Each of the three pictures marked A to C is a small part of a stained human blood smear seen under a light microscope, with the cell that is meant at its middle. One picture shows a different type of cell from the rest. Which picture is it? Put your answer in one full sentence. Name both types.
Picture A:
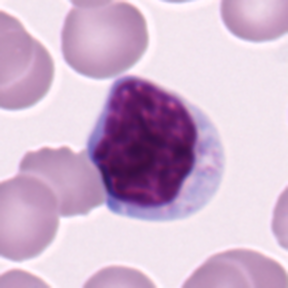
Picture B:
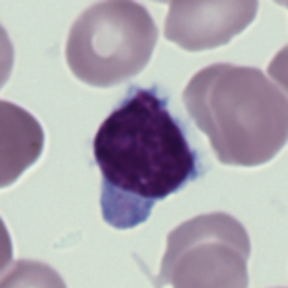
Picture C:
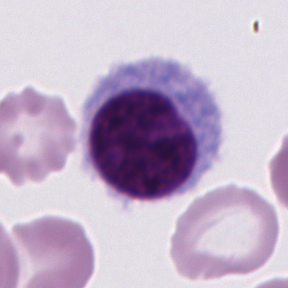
Picture C is the odd one out: it shows a hairy cell, while the others show typical lymphocytes.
